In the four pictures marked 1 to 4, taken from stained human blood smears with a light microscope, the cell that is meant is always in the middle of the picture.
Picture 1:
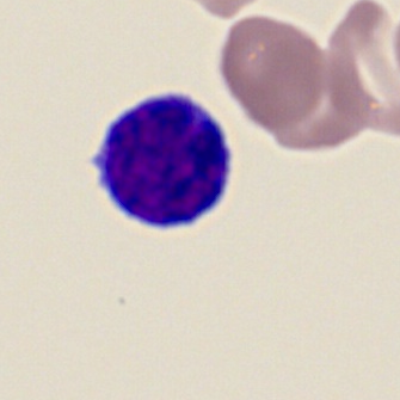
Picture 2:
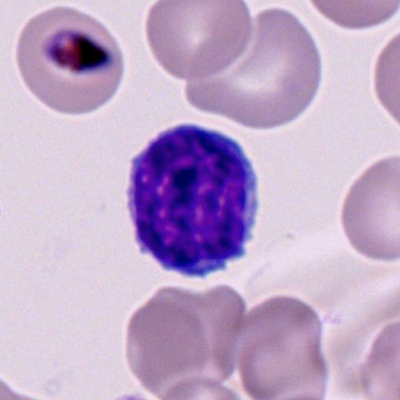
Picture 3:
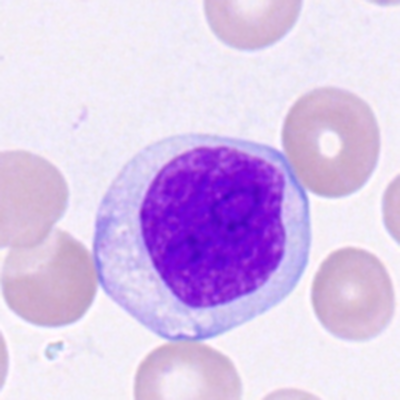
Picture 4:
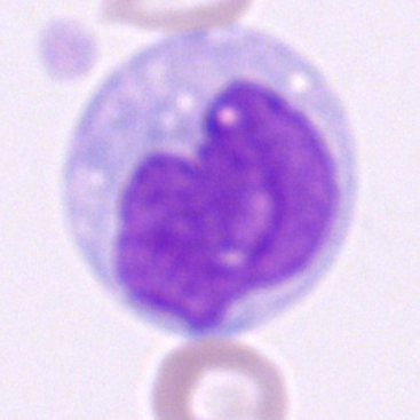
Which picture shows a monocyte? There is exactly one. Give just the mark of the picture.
4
